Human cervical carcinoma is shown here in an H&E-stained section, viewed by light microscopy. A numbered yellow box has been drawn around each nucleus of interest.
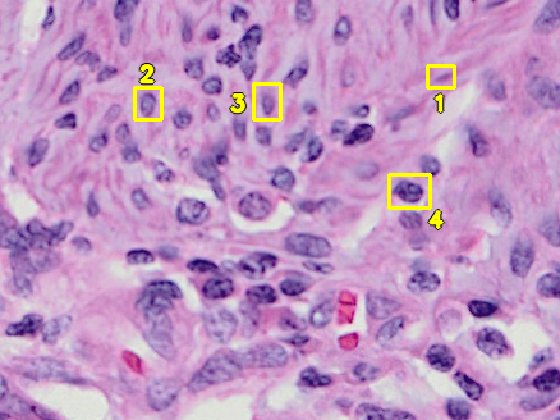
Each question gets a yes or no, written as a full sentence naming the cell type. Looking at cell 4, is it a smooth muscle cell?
No, for cell 4, the correct identification is a lymphocyte instead of a smooth muscle cell.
